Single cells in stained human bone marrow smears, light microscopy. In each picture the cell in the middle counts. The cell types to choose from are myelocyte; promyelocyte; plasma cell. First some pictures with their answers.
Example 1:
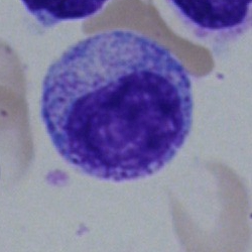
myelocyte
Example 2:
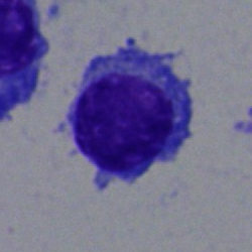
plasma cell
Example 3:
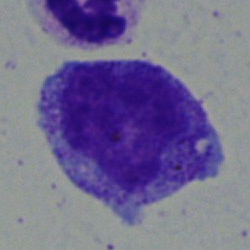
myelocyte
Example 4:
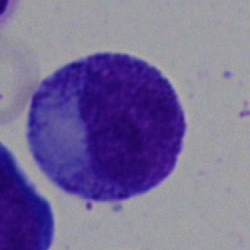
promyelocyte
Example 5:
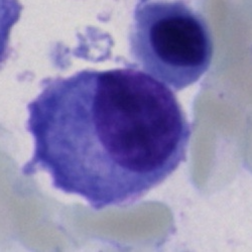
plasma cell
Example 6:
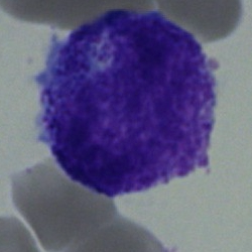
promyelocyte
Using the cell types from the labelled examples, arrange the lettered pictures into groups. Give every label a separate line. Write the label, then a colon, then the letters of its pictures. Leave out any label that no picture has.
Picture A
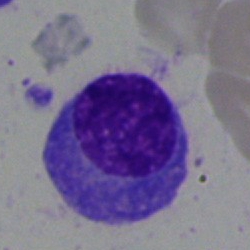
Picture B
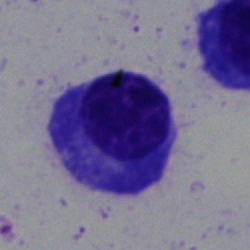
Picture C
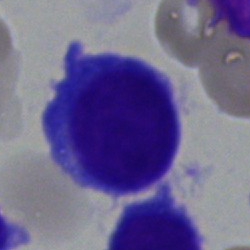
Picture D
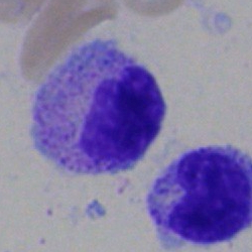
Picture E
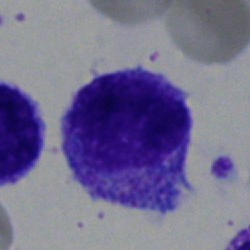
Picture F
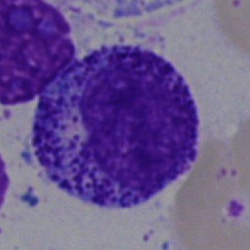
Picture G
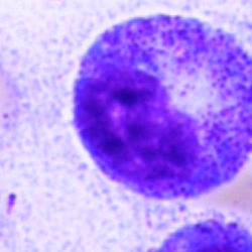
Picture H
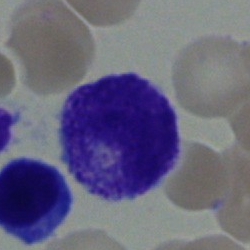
myelocyte: D, H
promyelocyte: E, F, G
plasma cell: A, B, C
